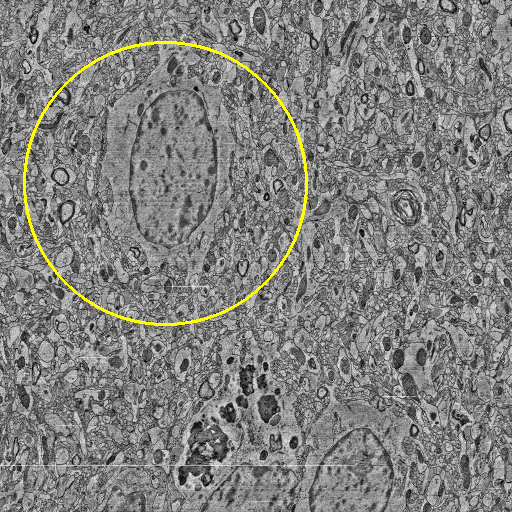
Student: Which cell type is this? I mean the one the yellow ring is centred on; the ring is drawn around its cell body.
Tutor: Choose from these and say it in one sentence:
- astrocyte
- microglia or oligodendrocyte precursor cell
The cell the ring is centred on is an astrocyte.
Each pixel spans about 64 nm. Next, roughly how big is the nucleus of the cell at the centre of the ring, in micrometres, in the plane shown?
The nucleus comes to approximately 10 by 6 micrometres and is clearly longer than it is wide in this plane.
